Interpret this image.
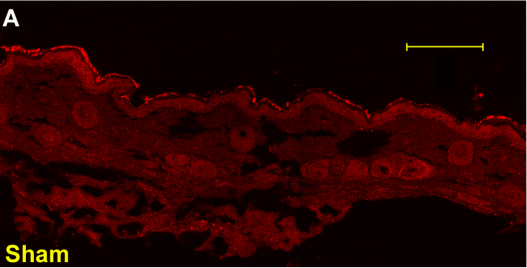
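This is a long, thin section of skin seen in red fluorescence. Along the upper edge runs a thin, slightly wavy, brighter band that forms the surface layer. Beneath it lies a thicker, more loosely textured layer holding several rounded, ring-like profiles of varying size. The lower part of the section is patchier, with darker gaps between strands of labelled tissue. Overall the red label is faint and fairly even, with no strongly bright fibres standing out.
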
